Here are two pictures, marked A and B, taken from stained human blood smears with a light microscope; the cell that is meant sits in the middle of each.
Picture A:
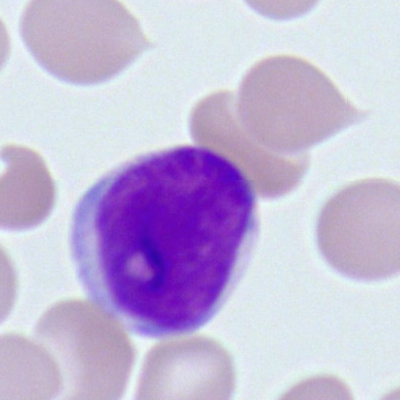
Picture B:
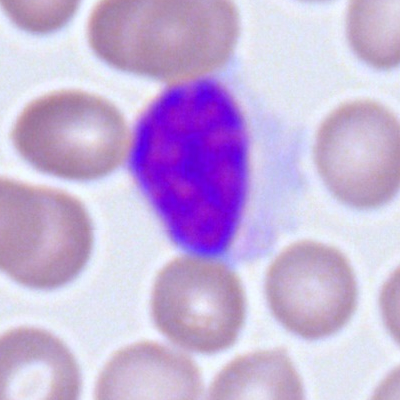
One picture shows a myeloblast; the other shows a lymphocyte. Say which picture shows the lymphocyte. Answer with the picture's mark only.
B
